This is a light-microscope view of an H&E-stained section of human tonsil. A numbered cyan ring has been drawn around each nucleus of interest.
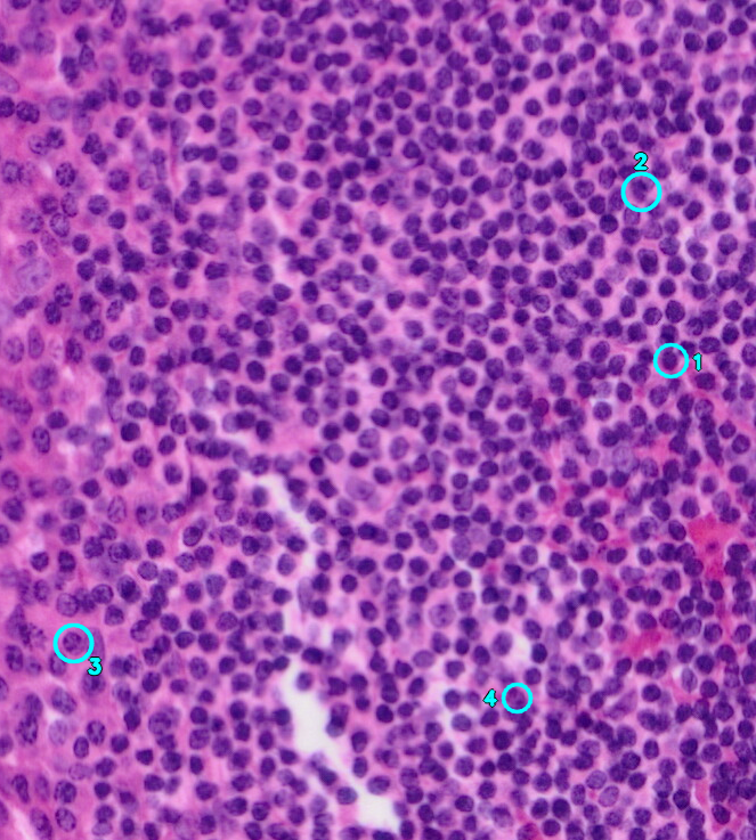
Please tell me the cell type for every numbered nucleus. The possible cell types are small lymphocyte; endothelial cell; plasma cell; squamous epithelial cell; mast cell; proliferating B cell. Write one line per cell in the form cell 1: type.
cell 1: small lymphocyte
cell 2: small lymphocyte
cell 3: plasma cell
cell 4: small lymphocyte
